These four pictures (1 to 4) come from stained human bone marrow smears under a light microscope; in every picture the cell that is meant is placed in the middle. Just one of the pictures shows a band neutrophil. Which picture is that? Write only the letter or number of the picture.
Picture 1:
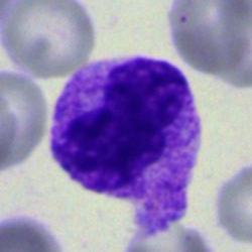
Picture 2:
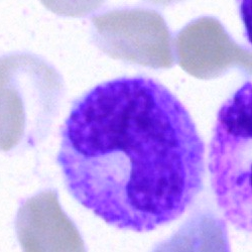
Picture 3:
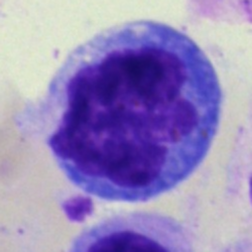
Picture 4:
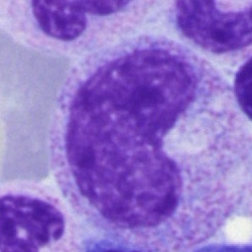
2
